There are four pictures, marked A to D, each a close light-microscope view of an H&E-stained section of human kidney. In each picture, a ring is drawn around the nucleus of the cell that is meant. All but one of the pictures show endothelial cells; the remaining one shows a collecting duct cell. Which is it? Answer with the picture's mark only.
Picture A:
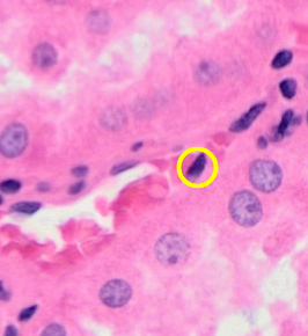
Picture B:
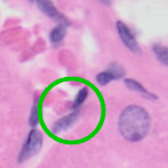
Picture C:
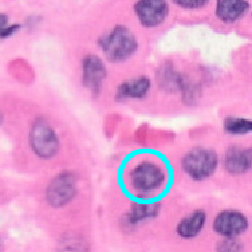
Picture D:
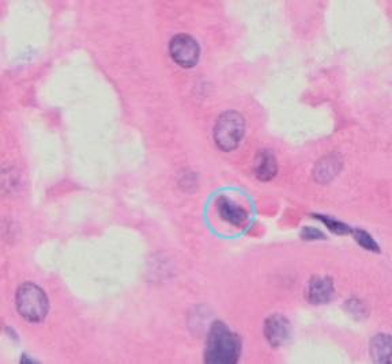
C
